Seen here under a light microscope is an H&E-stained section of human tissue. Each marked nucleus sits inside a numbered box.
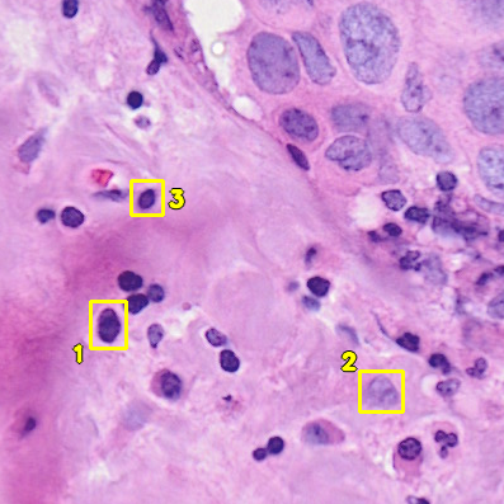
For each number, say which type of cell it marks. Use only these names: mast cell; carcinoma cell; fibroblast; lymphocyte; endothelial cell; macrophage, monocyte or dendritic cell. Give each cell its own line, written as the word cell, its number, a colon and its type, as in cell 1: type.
cell 1: lymphocyte
cell 2: fibroblast
cell 3: lymphocyte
